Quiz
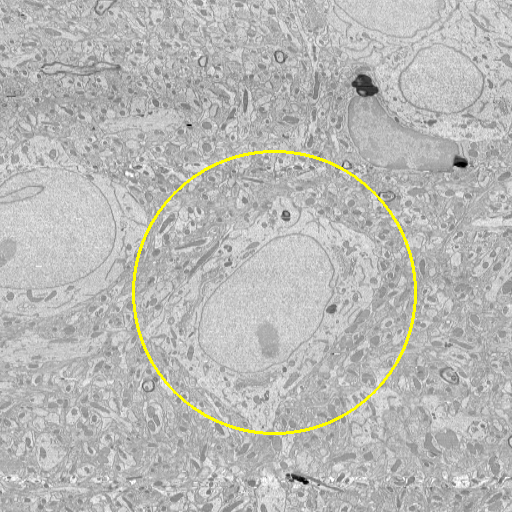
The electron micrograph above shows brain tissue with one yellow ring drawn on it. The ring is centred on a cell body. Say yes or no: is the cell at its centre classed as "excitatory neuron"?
yes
